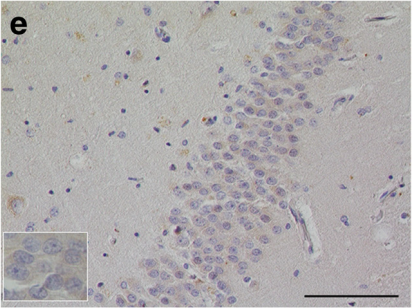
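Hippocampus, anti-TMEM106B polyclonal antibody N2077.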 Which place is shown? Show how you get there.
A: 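A curved band of densely packed small round nuclei. The packed cells show little or no brown stain. On this evidence: dentate gyrus.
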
